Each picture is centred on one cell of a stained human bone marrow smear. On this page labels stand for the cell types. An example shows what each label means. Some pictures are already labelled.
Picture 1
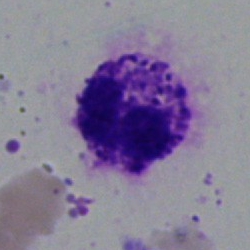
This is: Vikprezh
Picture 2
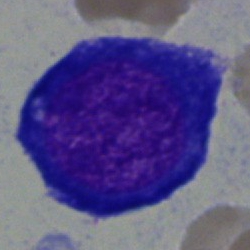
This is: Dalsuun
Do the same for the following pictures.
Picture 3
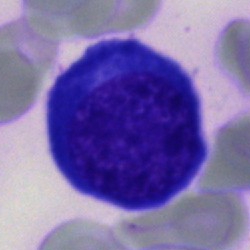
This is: Dalsuun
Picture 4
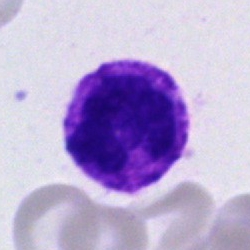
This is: Vikprezh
